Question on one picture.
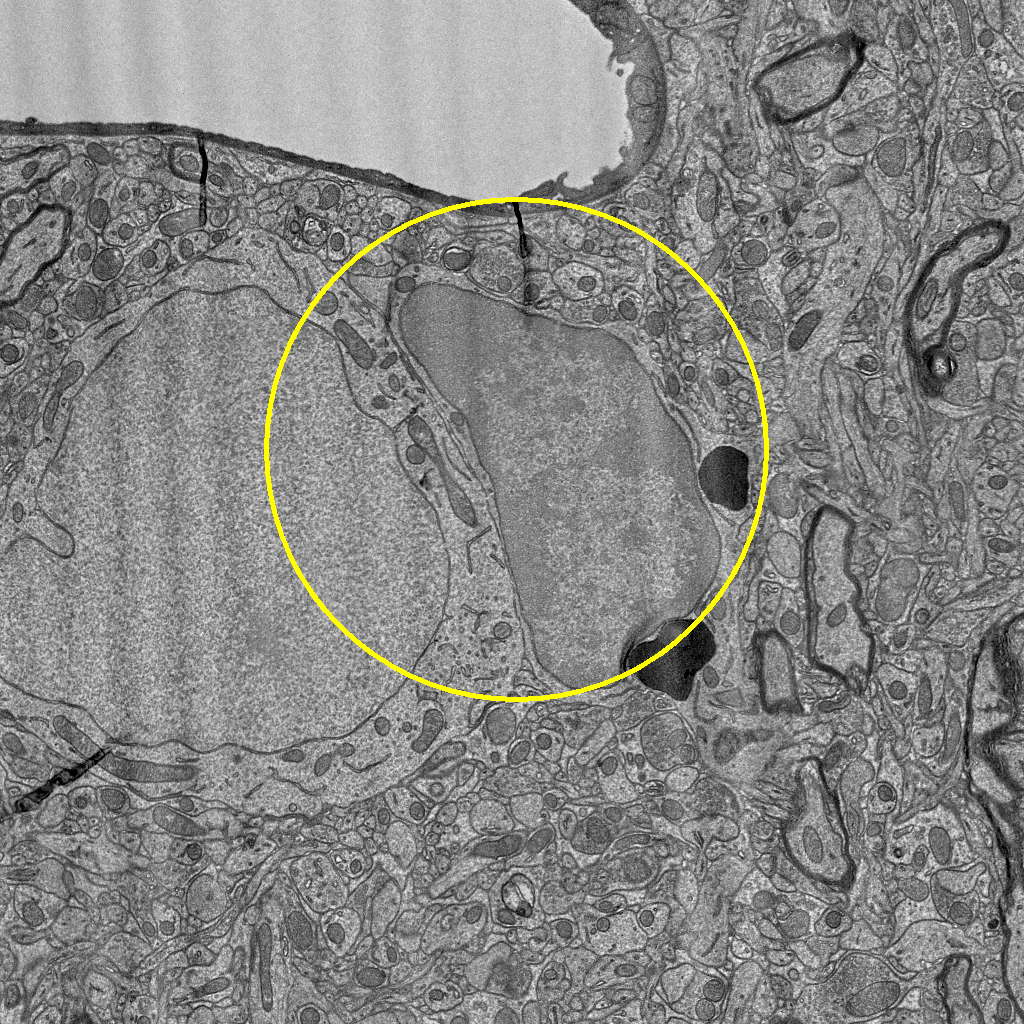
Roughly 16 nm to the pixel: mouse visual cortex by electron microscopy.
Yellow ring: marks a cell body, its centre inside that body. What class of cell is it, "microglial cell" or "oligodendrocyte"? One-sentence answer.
This is a microglial cell, the cell at the ring's centre.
